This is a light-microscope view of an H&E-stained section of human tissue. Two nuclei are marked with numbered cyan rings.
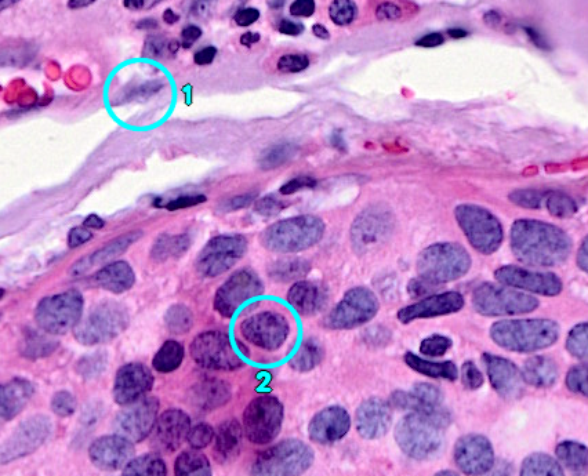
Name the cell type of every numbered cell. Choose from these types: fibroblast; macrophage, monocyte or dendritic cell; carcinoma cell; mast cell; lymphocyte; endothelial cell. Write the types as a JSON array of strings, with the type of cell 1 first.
["fibroblast", "carcinoma cell"]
